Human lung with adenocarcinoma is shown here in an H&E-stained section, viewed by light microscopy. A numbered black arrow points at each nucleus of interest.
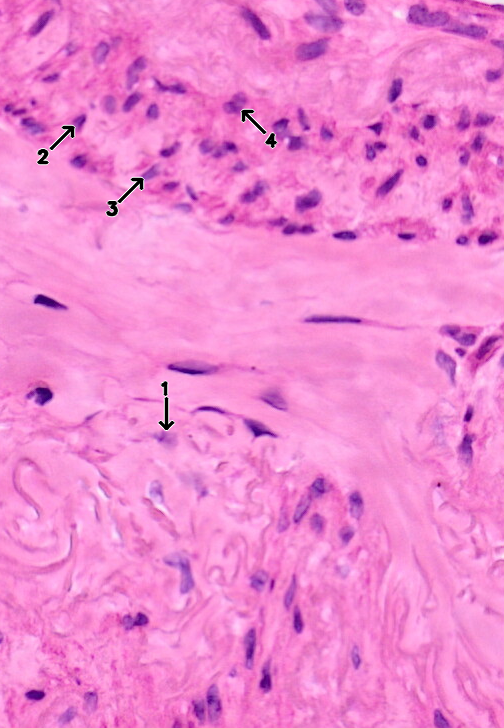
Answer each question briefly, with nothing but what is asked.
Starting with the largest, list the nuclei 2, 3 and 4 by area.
4, 3, 2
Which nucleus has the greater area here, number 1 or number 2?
1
